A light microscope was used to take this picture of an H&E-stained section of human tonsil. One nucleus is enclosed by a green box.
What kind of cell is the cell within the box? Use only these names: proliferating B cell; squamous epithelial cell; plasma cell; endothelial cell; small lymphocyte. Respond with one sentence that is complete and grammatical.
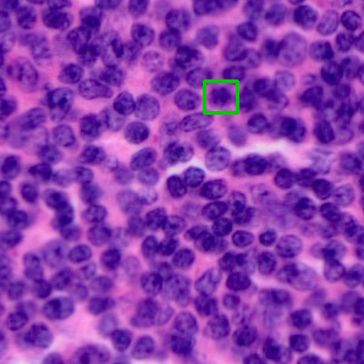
In this field of tissue, the cell within the box is a small lymphocyte.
